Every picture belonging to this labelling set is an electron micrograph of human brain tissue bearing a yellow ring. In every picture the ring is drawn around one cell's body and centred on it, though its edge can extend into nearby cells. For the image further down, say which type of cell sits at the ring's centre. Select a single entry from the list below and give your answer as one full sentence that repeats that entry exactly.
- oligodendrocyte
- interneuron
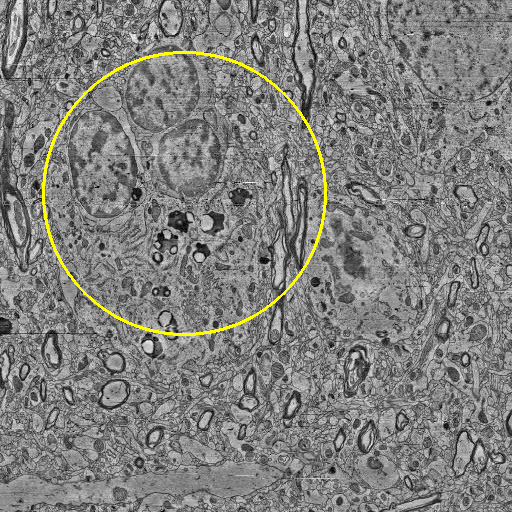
In the picture, an oligodendrocyte is the cell at the centre of the yellow ring.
